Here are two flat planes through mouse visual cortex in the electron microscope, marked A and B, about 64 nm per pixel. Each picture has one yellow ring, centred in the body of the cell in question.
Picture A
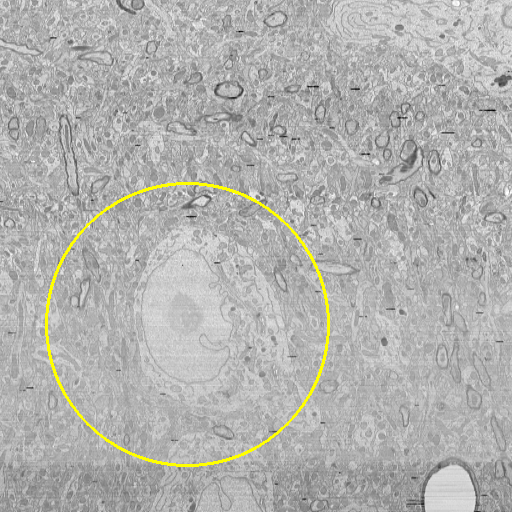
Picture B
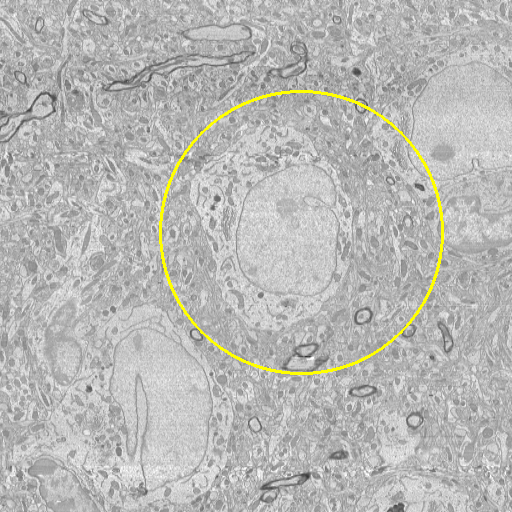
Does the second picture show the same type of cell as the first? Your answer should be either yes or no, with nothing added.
yes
